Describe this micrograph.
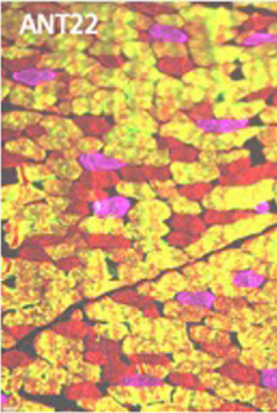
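A cross-section of skeletal muscle shows densely packed, polygonal muscle fibers of differing colours. Most fibers are yellow, interspersed with many red fibers and scattered purple fibers. Small dark gaps separate some fibers, and a dark connective-tissue septum crosses the field diagonally.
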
